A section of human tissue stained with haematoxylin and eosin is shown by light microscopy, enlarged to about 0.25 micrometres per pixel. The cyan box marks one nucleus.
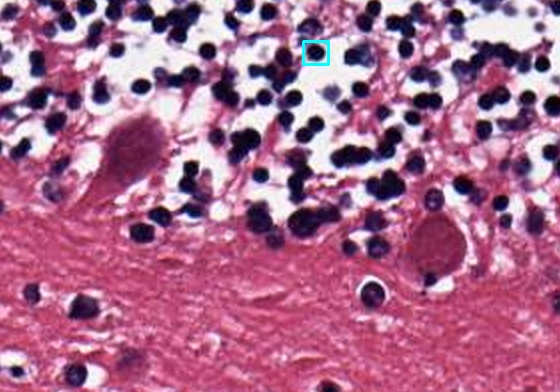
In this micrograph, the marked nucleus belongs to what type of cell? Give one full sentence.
Indicated by the mark is a nucleus that belongs to a cerebellar granule cell.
